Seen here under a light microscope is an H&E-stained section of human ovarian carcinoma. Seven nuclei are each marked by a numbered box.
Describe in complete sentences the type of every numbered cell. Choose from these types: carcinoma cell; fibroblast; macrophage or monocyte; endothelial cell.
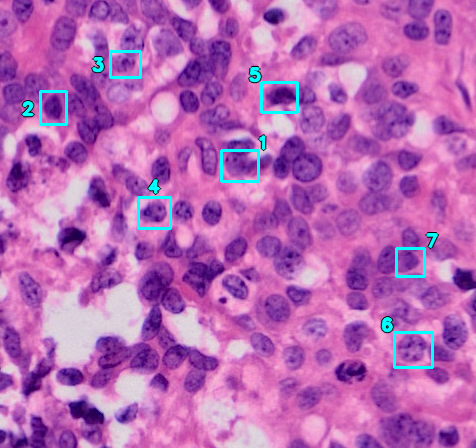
Cells 1, 2, 5 and 7 are carcinoma cells. Cells 3, 4 and 6 are macrophages or monocytes.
